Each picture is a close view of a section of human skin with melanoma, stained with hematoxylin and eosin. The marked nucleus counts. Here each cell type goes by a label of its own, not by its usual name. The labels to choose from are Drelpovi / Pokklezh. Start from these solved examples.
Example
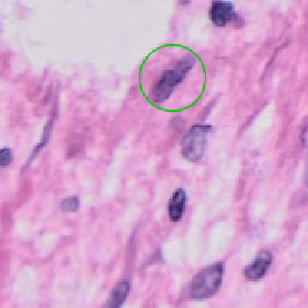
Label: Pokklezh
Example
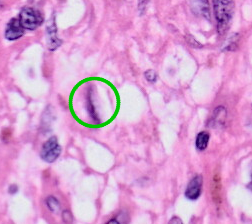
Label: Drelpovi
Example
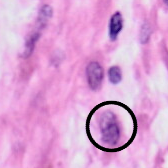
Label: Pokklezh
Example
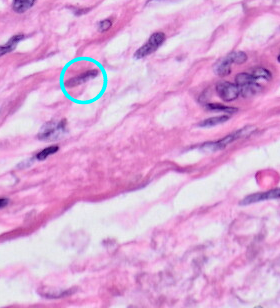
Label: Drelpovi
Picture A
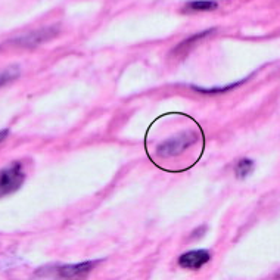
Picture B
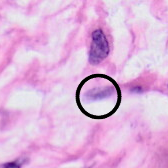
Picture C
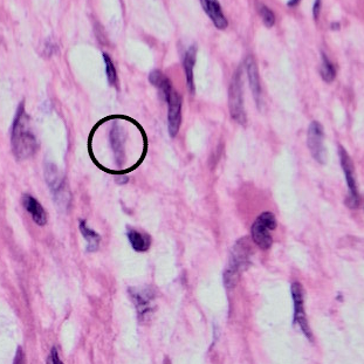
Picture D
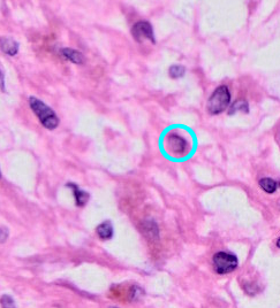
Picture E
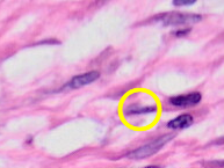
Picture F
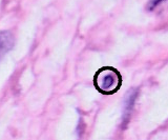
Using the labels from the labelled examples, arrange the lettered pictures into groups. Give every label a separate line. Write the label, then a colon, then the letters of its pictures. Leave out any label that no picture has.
Drelpovi: B, C, E
Pokklezh: A, D, F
